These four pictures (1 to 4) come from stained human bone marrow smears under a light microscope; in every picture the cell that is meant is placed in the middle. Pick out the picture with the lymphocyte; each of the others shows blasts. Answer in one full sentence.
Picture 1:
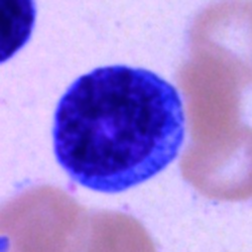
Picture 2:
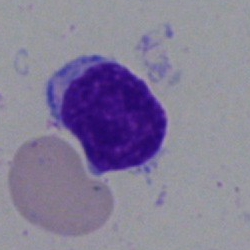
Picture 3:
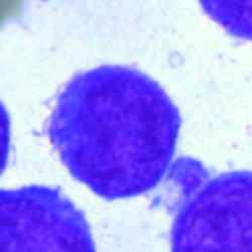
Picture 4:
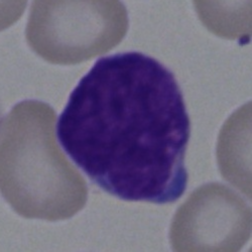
Picture 2 is the one that shows the lymphocyte.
